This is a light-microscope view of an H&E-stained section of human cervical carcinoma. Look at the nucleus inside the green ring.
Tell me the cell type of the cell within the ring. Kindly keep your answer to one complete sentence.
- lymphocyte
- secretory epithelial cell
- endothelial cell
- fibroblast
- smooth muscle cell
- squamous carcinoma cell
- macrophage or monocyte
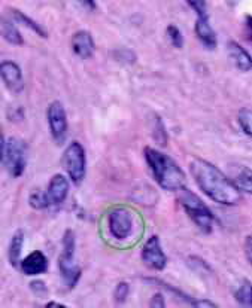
By cell type, the cell within the ring is a smooth muscle cell.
